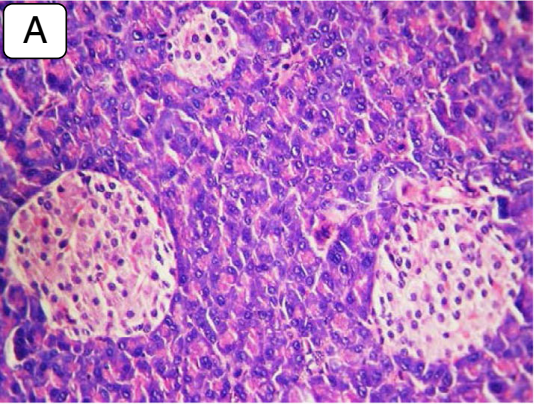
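Pancreatic tissue with exocrine acini and three pancreatic islets. Acinar cells are pyramidal, arranged in small clusters, with round dark nuclei and purple-pink cytoplasm. The islets are rounded, sharply delimited from the surrounding acini and stain much paler. Their cells are polygonal, with round nuclei and light pink cytoplasm, arranged in loose cords separated by thin spaces. Acini fill the space between islets closely, with only narrow clefts between lobules.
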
